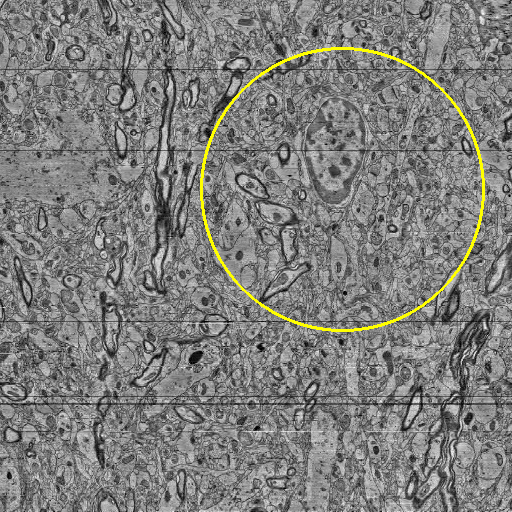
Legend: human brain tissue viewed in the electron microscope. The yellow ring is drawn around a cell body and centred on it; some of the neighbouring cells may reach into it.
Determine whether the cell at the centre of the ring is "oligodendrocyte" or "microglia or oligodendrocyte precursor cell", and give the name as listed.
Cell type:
microglia or oligodendrocyte precursor cell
